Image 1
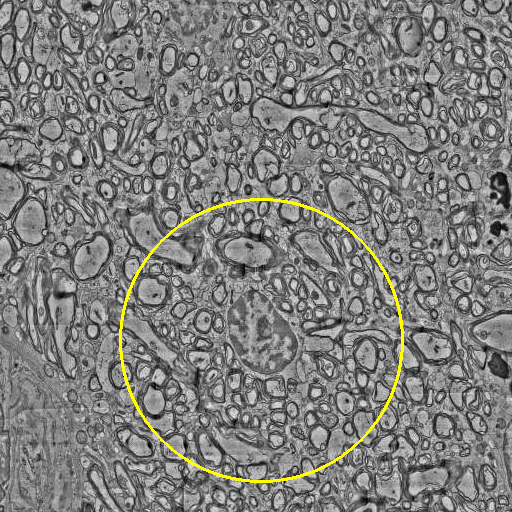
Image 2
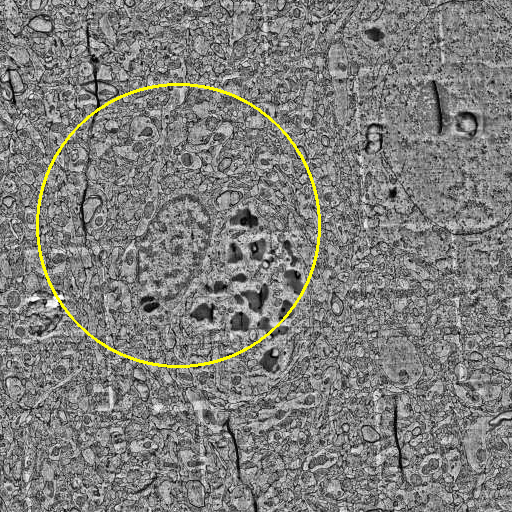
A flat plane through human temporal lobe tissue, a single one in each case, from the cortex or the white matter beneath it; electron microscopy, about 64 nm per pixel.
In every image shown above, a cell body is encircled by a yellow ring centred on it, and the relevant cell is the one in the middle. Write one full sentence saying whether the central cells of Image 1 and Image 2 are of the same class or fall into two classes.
The cell at the ring's centre in Image 1 and its counterpart in Image 2 fall into two classes.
